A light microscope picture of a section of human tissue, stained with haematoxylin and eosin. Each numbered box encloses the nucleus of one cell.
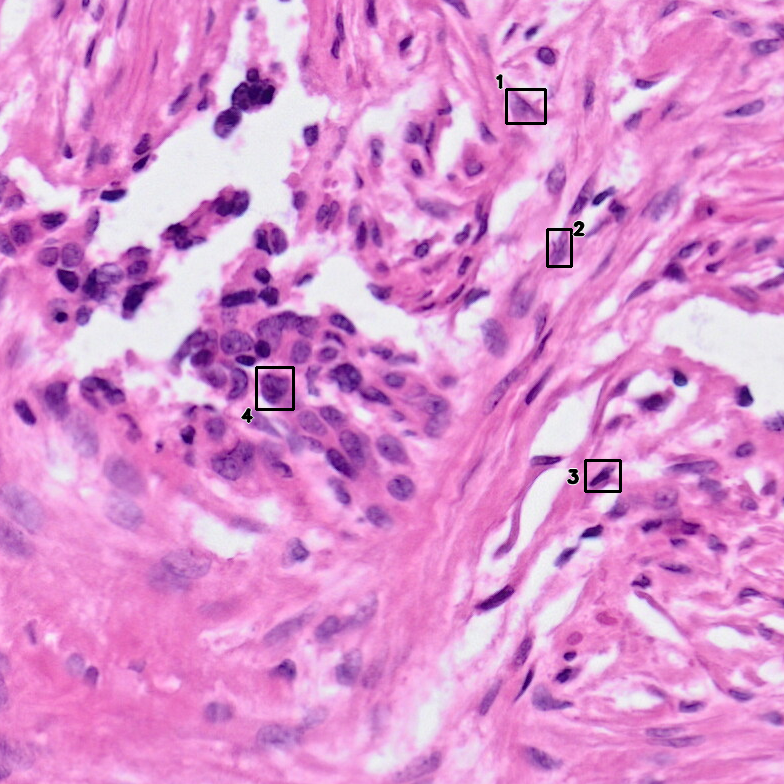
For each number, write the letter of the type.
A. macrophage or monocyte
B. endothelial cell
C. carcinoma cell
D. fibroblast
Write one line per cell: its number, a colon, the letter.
1: D
2: D
3: D
4: C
